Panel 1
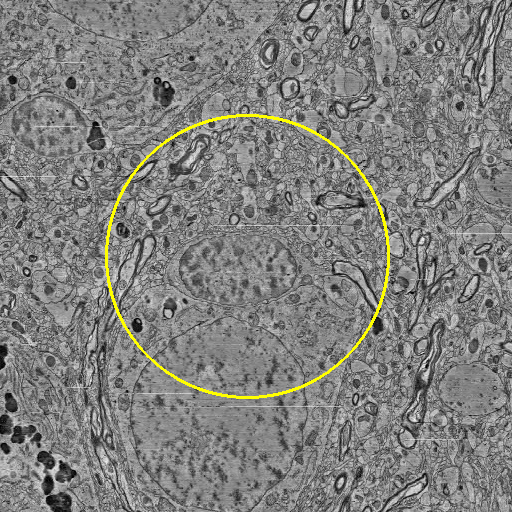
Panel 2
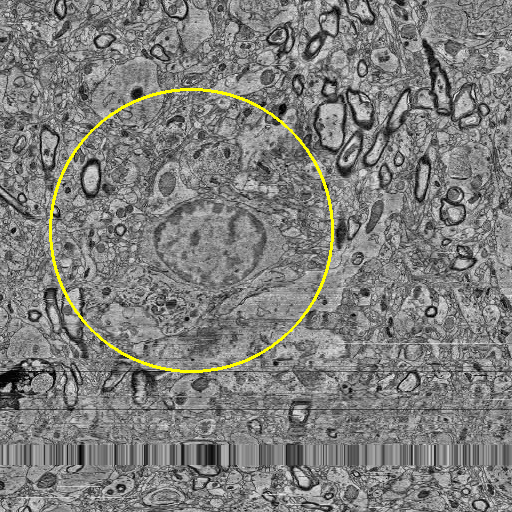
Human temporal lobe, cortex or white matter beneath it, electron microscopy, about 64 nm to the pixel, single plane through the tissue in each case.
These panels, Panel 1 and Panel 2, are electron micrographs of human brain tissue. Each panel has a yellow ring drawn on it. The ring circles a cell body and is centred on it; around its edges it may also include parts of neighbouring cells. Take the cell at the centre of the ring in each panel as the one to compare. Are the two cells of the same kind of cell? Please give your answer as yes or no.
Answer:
yes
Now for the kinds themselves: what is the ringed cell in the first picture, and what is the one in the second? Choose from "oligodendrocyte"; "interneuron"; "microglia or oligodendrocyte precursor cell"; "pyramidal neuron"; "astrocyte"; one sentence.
The second cell is an oligodendrocyte, just as the first is.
